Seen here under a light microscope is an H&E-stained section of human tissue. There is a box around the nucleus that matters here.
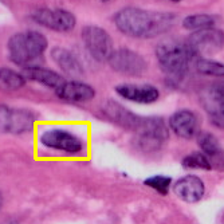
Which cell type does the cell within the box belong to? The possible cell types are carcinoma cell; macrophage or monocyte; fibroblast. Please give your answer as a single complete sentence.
As far as its identity is concerned, the cell within the box is a macrophage or monocyte.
